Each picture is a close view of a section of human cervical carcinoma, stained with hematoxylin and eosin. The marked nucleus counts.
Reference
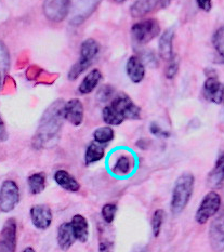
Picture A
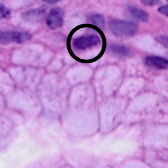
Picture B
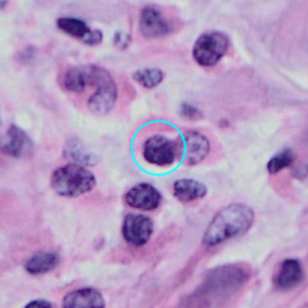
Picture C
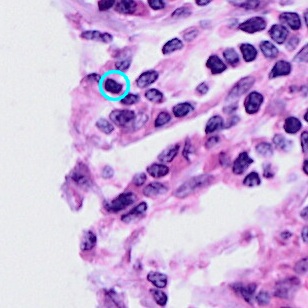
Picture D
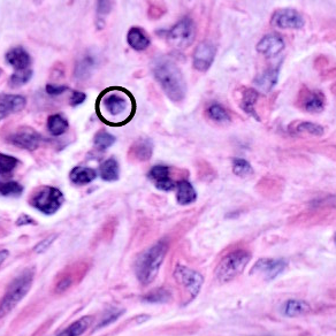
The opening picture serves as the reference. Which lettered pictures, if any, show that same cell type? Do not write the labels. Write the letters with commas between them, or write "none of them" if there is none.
B, C, D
